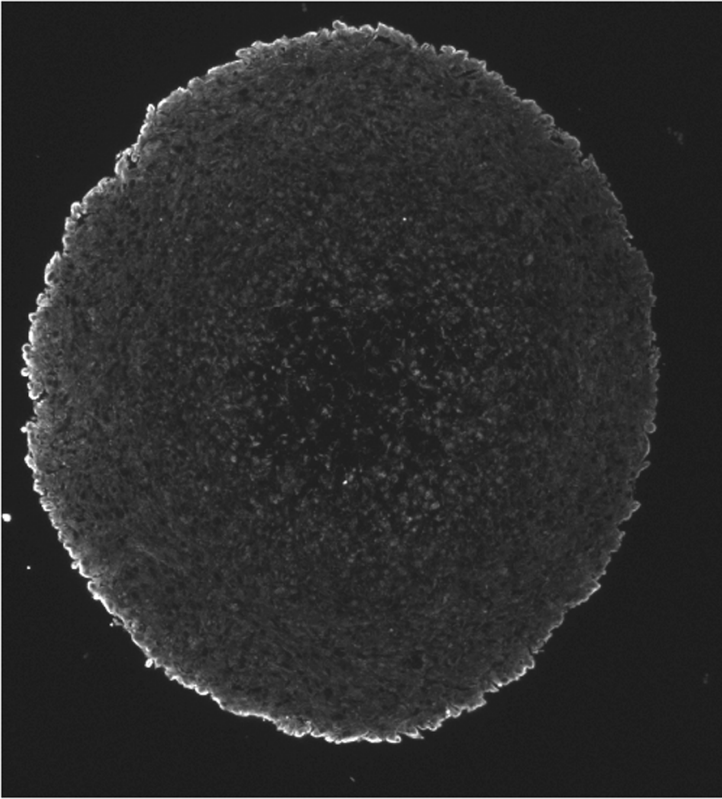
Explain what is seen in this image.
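This is a section through a large, nearly round multicellular spheroid whose brightest staining forms a thin surface capsule of cells along its entire outer edge. The interior is densely packed with dimmer cells, and the centre contains scattered small bright dots within a darker region.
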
